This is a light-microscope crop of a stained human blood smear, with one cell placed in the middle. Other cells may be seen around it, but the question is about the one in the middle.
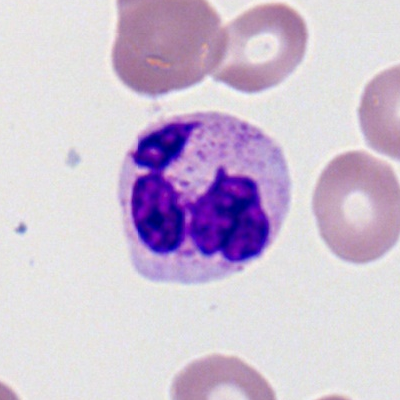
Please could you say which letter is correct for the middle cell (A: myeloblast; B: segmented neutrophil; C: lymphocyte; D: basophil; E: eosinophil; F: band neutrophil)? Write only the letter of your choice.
B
